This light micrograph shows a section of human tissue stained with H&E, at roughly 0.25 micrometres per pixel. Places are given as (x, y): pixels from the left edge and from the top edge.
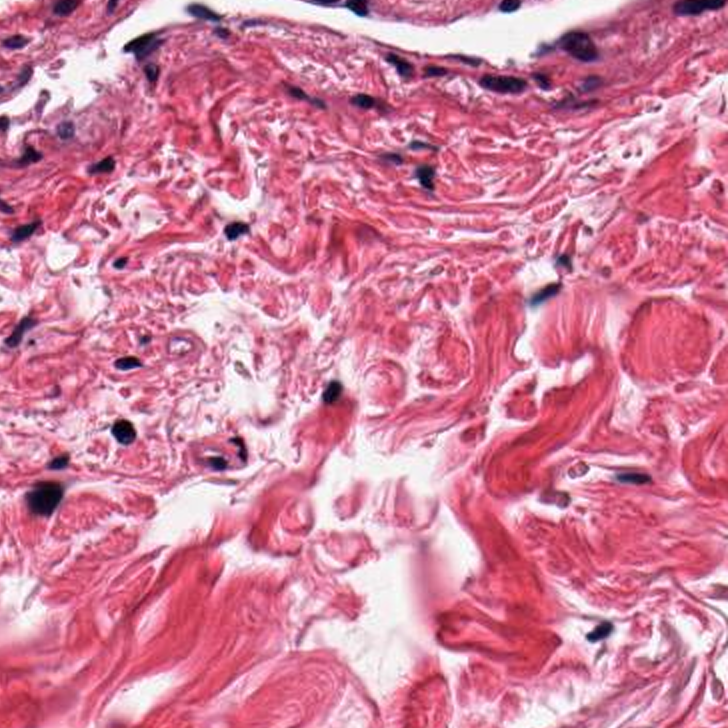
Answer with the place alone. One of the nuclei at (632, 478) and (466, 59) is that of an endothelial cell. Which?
(466, 59)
